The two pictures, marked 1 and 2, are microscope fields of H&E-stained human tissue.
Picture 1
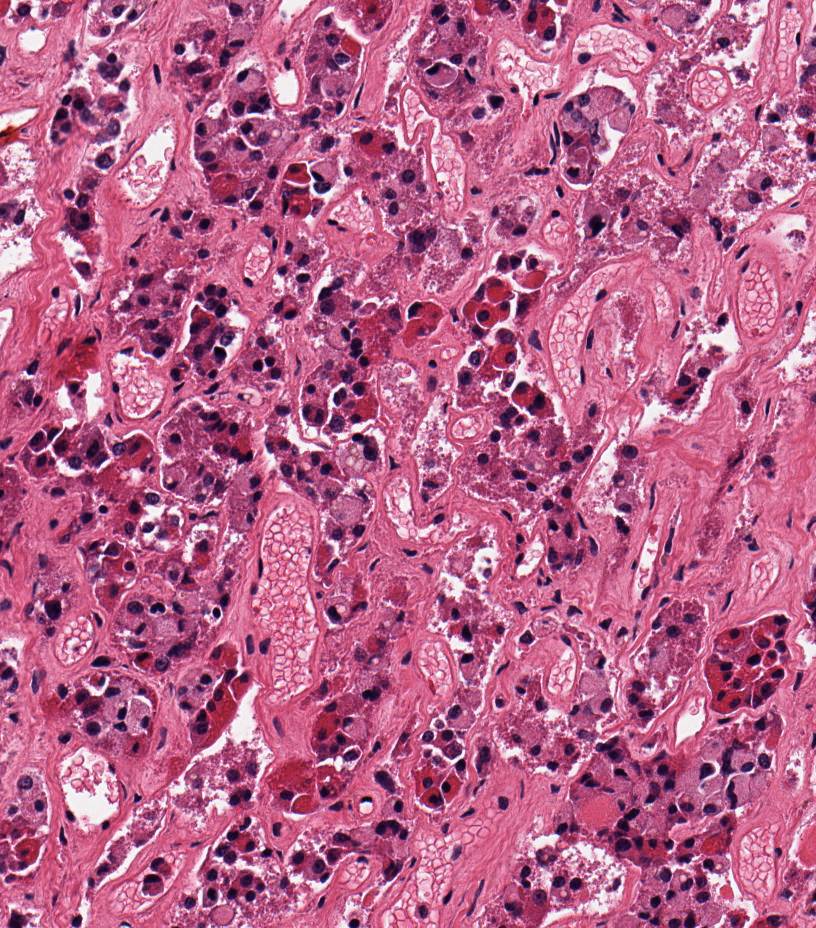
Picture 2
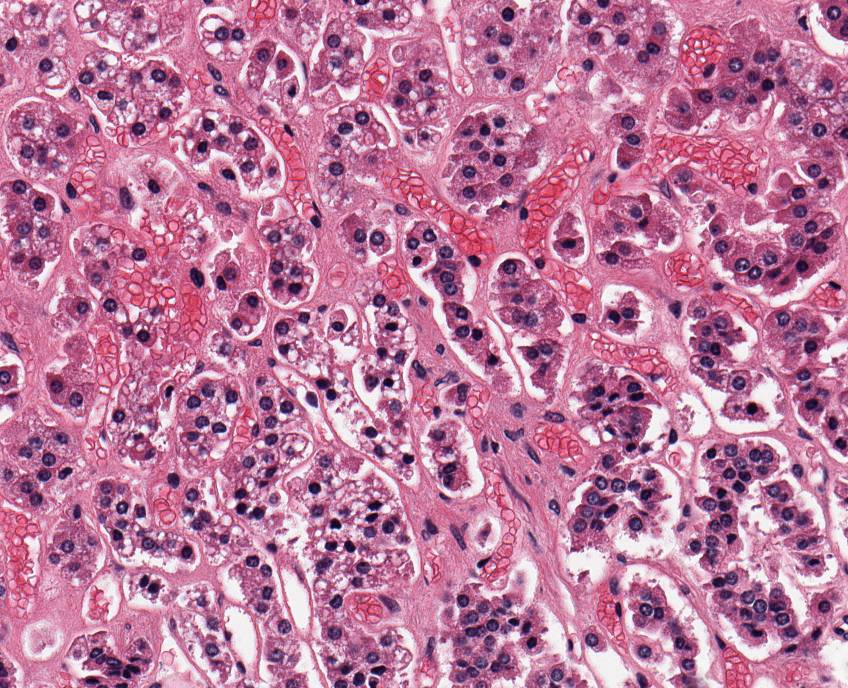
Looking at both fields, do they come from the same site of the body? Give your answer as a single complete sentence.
No, they differ: picture 1 comes from the pituitary, and picture 2 comes from the adrenal gland.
